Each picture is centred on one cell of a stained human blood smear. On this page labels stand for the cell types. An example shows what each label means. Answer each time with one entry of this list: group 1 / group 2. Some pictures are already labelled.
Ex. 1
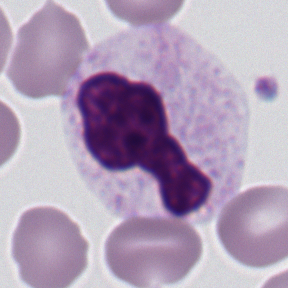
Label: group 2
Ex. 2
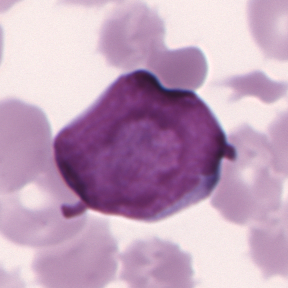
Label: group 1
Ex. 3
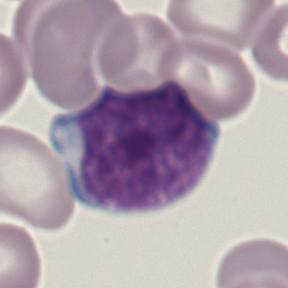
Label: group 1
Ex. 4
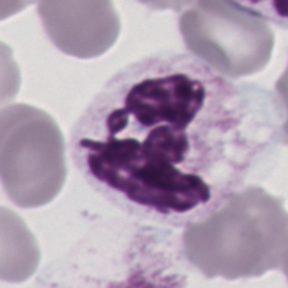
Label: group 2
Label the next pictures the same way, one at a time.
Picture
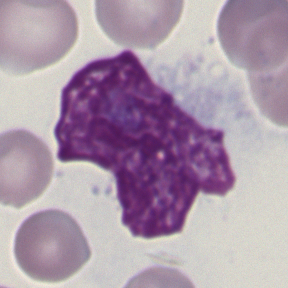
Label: group 1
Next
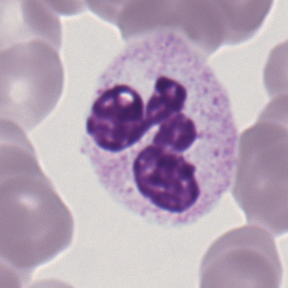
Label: group 2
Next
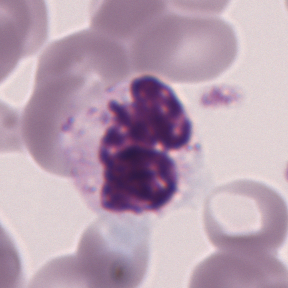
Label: group 2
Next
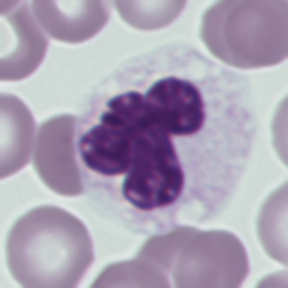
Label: group 2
